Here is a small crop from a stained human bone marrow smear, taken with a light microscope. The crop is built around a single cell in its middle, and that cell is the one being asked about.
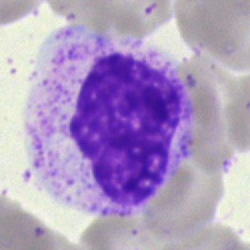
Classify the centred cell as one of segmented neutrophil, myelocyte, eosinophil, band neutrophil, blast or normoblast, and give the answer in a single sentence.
Looking at the middle of the crop, the cell there is a myelocyte.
